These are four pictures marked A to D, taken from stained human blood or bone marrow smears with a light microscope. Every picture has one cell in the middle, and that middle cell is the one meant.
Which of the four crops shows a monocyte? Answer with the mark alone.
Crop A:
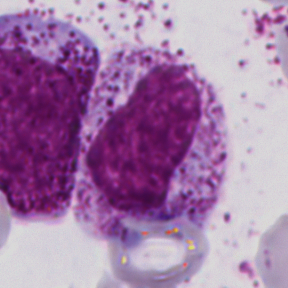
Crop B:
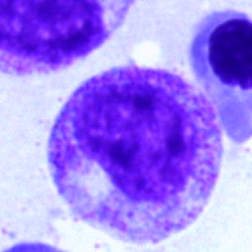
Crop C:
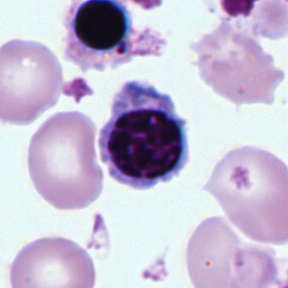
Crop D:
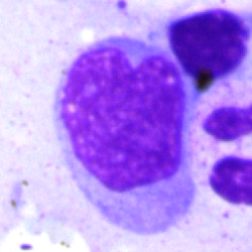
D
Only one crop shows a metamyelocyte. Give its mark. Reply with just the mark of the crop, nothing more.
B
